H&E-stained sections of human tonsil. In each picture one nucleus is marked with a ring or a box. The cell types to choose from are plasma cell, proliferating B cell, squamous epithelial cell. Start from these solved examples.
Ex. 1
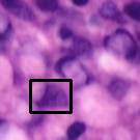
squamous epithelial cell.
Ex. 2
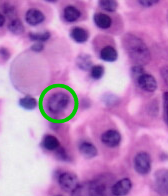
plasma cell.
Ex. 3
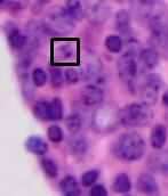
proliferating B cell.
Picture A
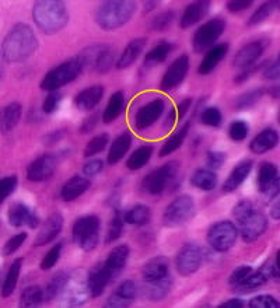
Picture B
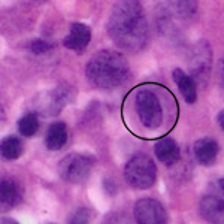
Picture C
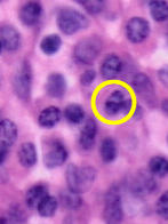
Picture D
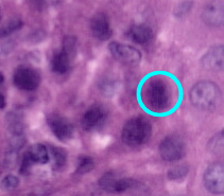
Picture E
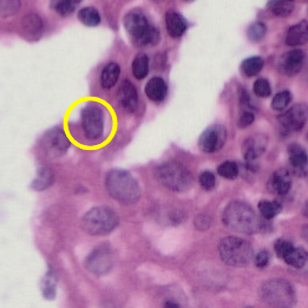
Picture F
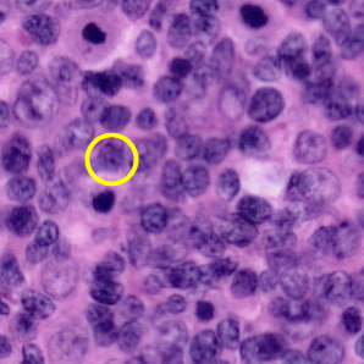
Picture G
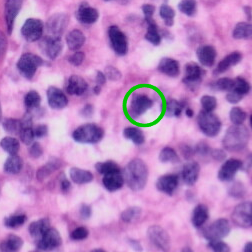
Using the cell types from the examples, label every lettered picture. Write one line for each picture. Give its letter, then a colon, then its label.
A: squamous epithelial cell.
B: squamous epithelial cell.
C: plasma cell.
D: squamous epithelial cell.
E: squamous epithelial cell.
F: proliferating B cell.
G: proliferating B cell.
